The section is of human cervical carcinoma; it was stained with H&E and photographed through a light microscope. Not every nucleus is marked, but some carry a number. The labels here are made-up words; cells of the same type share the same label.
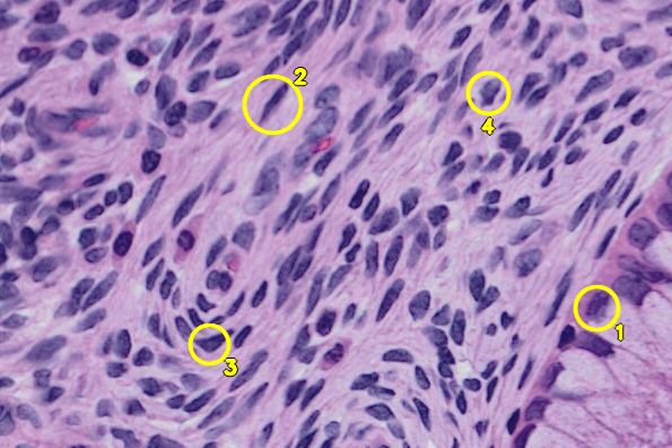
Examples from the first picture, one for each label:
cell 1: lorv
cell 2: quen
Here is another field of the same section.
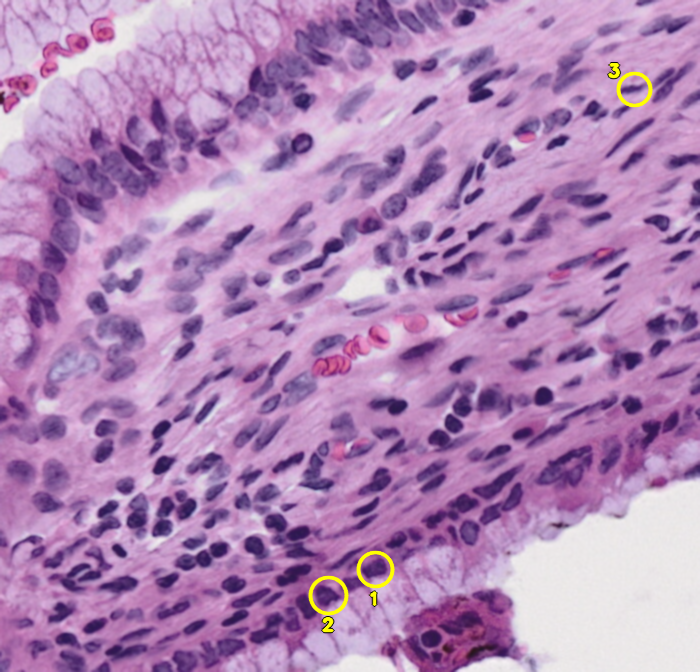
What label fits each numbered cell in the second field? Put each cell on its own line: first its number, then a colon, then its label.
1: lorv
2: lorv
3: quen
